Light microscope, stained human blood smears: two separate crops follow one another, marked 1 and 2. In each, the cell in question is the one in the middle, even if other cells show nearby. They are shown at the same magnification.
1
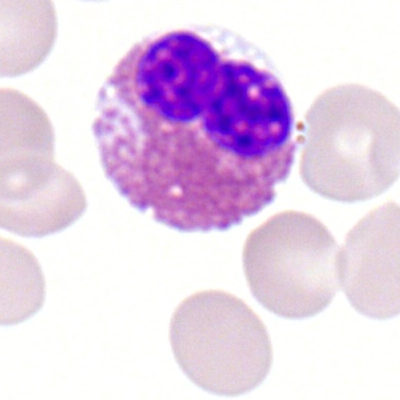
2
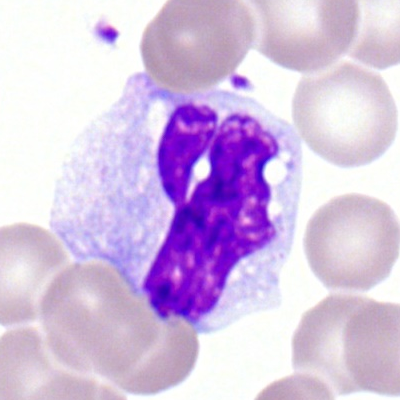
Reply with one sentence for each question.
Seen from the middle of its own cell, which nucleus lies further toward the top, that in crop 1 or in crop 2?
It is the nucleus in crop 1 that lies further toward the top of its cell.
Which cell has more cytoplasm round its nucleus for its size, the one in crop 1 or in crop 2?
In crop 1 the nucleus takes up the smaller part of its cell.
